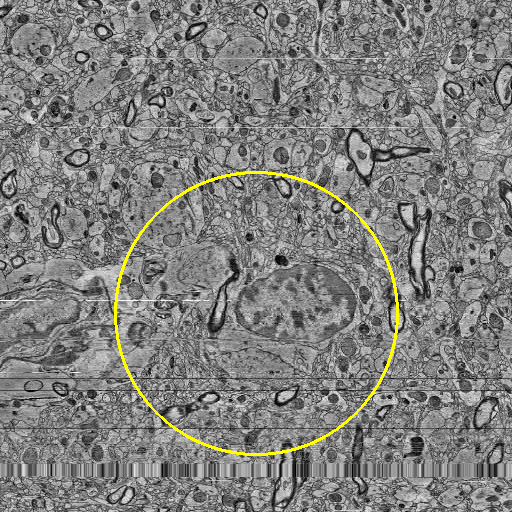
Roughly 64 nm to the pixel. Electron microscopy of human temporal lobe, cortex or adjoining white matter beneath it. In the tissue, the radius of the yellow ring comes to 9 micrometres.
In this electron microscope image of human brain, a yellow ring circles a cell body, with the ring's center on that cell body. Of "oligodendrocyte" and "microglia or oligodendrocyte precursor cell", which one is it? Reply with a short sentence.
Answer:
It is a microglial cell or oligodendrocyte precursor cell at the center of the ring.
